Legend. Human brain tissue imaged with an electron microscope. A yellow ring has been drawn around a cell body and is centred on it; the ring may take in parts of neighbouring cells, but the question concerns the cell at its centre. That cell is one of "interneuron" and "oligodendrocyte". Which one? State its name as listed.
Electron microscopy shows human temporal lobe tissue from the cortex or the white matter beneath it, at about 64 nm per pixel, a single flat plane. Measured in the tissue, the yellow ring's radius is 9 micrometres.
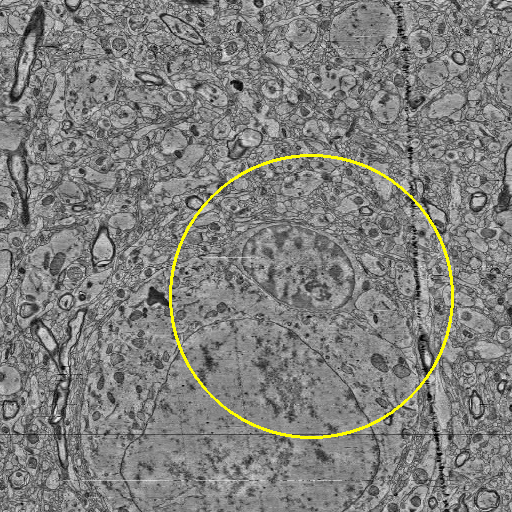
oligodendrocyte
